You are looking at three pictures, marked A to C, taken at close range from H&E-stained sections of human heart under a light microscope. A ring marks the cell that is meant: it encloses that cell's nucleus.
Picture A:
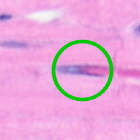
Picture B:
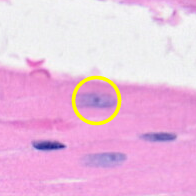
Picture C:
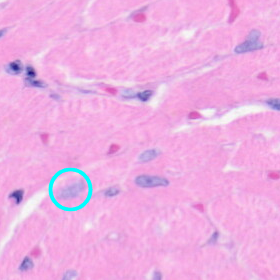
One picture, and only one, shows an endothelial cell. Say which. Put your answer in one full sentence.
It is picture A that shows the endothelial cell.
